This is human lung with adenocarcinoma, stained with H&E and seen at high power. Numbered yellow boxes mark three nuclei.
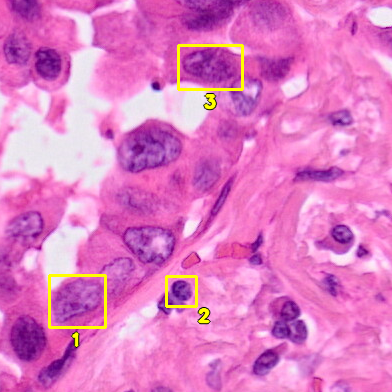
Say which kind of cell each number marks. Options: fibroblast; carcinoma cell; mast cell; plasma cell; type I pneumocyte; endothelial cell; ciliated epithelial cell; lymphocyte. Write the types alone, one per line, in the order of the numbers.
carcinoma cell
lymphocyte
carcinoma cell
